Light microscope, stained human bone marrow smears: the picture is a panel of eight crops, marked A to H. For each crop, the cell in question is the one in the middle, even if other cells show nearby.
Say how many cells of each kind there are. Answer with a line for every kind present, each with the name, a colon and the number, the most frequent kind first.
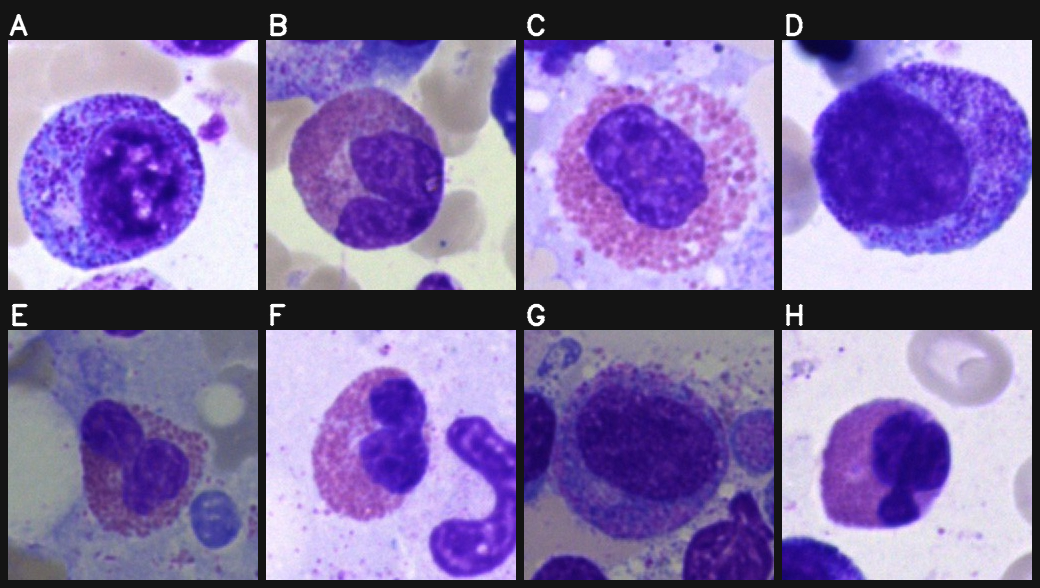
eosinophil: 5
promyelocyte: 3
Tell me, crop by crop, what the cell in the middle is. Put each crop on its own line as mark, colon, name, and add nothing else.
A: promyelocyte
B: eosinophil
C: eosinophil
D: promyelocyte
E: eosinophil
F: eosinophil
G: promyelocyte
H: eosinophil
